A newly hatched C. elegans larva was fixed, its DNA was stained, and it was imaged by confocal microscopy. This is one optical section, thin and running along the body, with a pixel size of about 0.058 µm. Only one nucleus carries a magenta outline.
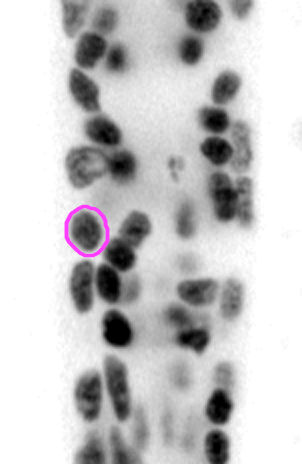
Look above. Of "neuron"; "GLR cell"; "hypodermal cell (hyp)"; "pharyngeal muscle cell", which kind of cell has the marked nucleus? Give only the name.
hypodermal cell (hyp)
